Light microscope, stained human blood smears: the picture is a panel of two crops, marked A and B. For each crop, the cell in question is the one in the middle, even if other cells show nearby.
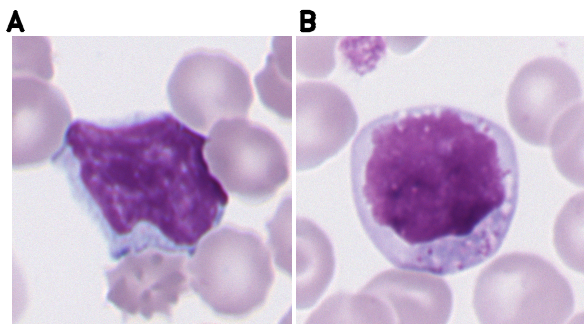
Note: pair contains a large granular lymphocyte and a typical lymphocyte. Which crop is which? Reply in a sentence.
It is a typical lymphocyte that crop A shows, and a large granular lymphocyte that crop B shows.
